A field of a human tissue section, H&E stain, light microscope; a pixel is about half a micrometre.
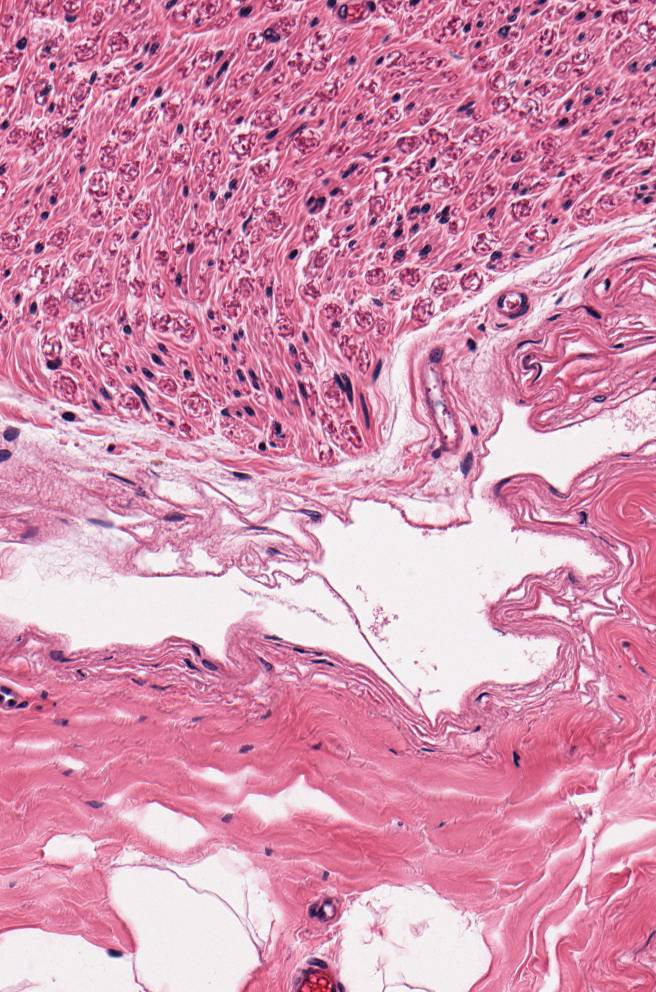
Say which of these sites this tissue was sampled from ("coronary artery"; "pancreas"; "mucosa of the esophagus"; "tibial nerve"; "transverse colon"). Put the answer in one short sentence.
The site this tissue was sampled from is the tibial nerve.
